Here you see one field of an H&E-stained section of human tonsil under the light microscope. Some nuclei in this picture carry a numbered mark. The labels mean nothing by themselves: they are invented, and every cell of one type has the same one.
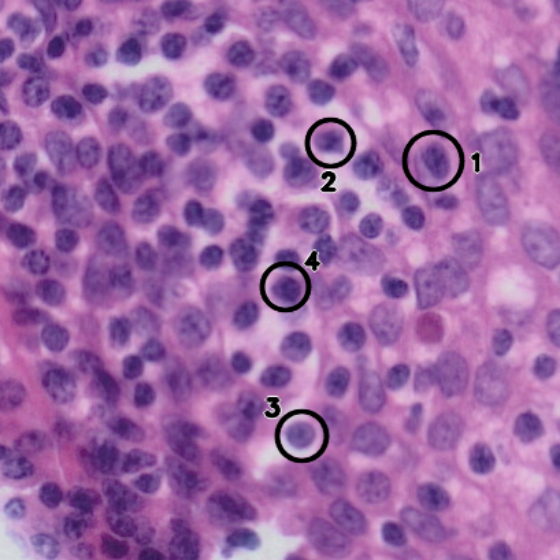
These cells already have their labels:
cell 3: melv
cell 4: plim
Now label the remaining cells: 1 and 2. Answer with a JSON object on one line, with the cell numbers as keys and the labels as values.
{"1": "melv", "2": "plim"}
